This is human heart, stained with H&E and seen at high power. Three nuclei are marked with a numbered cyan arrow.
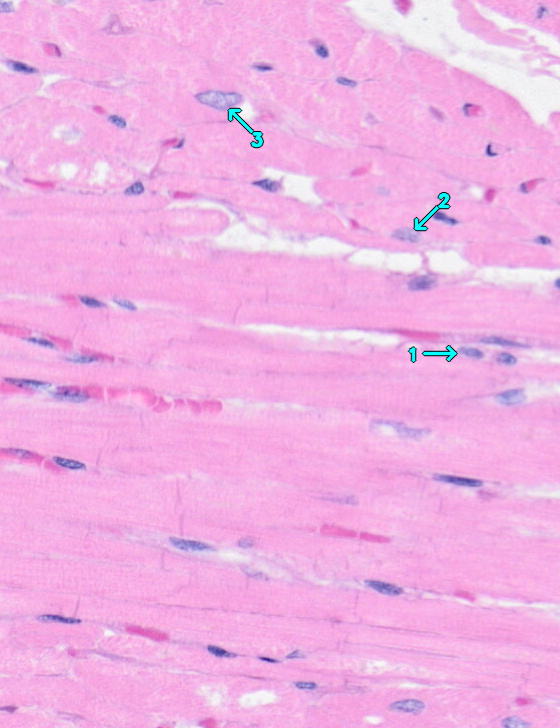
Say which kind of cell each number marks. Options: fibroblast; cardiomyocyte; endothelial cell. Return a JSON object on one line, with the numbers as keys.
{"1": "fibroblast", "2": "cardiomyocyte", "3": "cardiomyocyte"}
